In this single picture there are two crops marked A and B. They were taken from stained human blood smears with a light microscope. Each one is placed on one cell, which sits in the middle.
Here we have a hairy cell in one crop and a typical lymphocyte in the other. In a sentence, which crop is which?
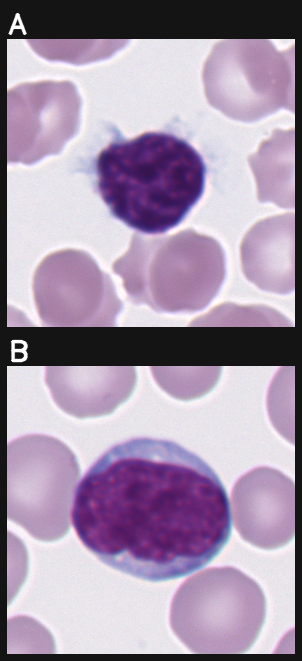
Classification: crop A is a hairy cell, crop B is a typical lymphocyte.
